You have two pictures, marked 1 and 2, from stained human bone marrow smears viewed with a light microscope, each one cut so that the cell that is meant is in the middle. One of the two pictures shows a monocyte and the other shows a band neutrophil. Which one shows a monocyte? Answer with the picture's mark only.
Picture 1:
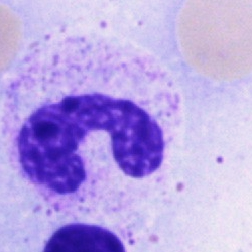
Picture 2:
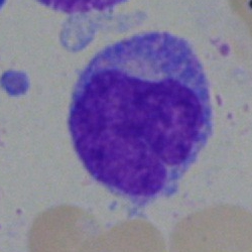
2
